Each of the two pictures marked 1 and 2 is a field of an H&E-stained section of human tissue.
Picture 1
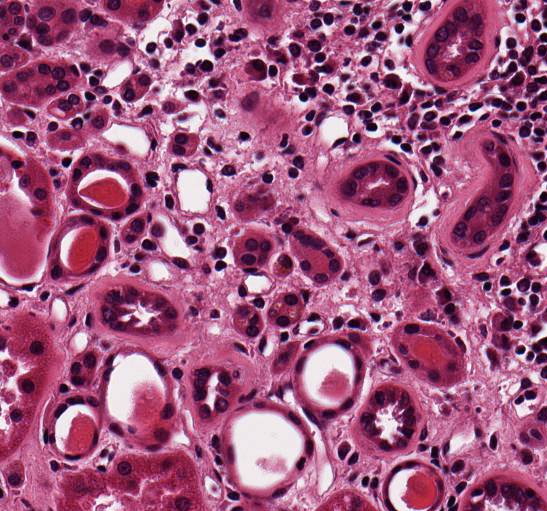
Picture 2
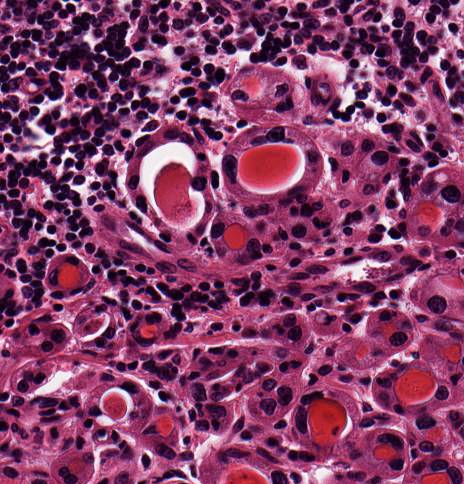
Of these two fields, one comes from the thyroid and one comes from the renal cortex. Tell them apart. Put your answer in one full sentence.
Picture 2 comes from the thyroid, while picture 1 comes from the renal cortex.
